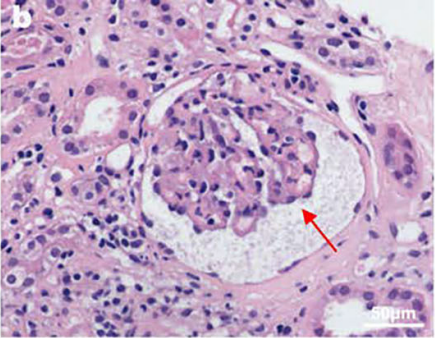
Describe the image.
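A glomerulus sits in the centre, its tuft of pink capillary loops and purple nuclei small and pulled back against one side of the capsule. The rest of the capsule is filled by a wide space holding pale, finely granular material. Around the glomerulus the interstitium holds many small dark round nuclei of infiltrating inflammatory cells between tubules lined by pink epithelium.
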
